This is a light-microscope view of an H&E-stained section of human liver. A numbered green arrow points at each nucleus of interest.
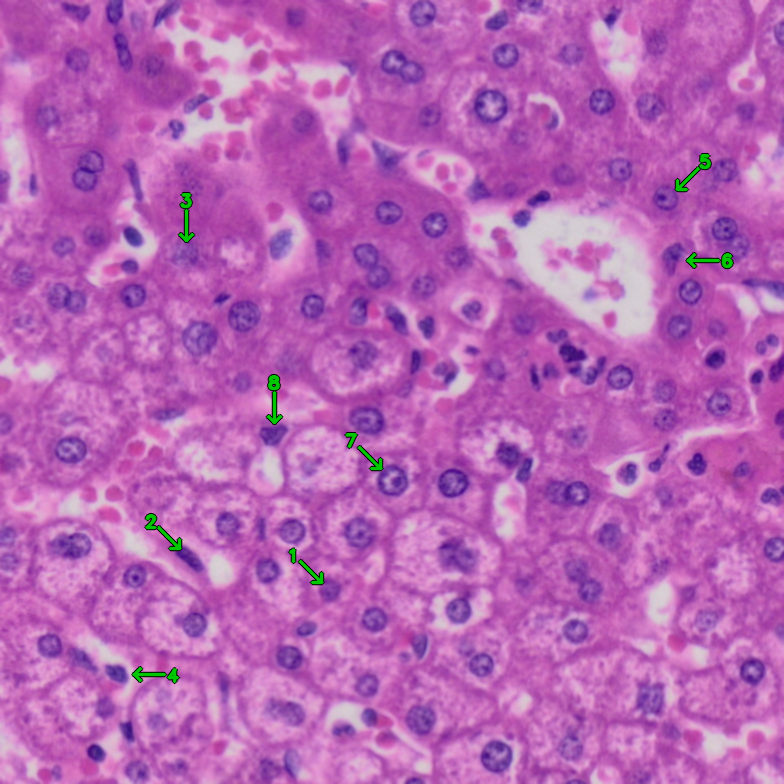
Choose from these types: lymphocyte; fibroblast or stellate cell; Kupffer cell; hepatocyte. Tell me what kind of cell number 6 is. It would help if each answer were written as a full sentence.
The cell numbered 6 represents a fibroblast or stellate cell.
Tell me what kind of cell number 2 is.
The cell that carries the label 2 is a Kupffer cell.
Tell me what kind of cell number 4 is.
What the number 4 marks in this field is a lymphocyte.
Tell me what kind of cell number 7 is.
The marked nucleus 7 is that of a hepatocyte.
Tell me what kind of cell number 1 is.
The correct answer for cell 1 is a hepatocyte.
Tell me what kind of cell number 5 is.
Recognised here as a hepatocyte is the cell numbered 5.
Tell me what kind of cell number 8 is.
Among the marked nuclei, number 8 belongs to a fibroblast or stellate cell.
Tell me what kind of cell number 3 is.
Corresponding to a hepatocyte is the cell labelled 3.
